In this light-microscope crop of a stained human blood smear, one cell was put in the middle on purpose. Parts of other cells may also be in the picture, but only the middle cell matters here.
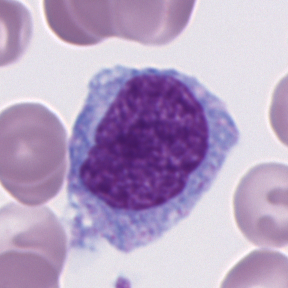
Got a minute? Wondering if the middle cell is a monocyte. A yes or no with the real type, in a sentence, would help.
Yes, the centrally placed cell is a monocyte.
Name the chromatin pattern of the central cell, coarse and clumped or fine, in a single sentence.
The chromatin is fine; coarse clumps are not a feature here.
